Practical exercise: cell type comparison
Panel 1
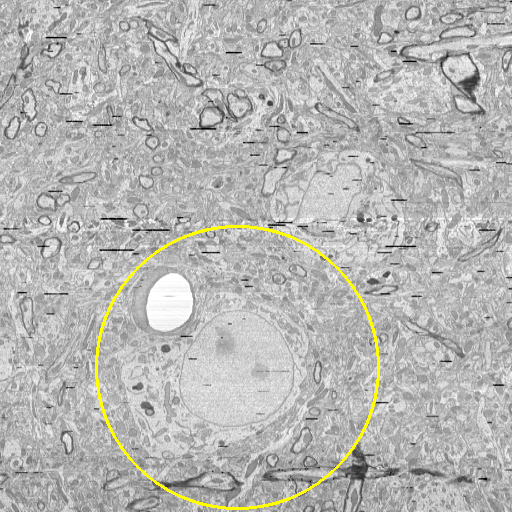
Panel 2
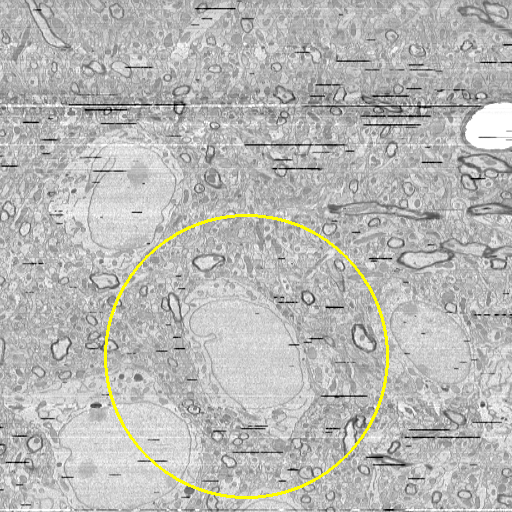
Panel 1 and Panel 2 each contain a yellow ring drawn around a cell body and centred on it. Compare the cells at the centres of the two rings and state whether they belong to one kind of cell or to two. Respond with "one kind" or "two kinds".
one kind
